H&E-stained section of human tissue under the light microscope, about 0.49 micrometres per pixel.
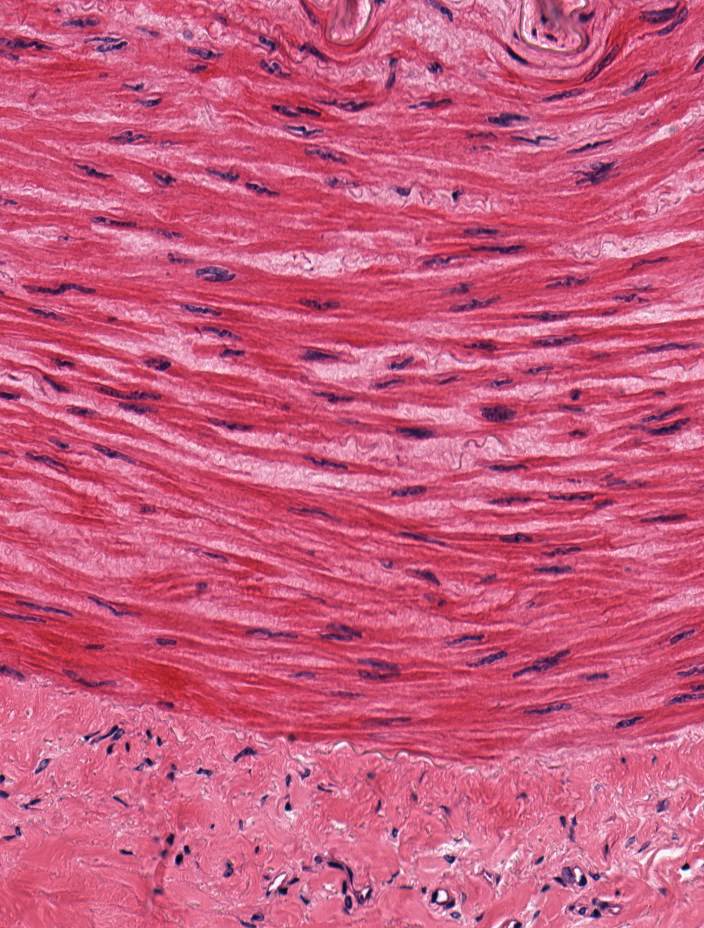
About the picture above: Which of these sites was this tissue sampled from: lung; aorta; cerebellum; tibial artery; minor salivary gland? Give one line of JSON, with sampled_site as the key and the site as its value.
{"sampled_site": "tibial artery"}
